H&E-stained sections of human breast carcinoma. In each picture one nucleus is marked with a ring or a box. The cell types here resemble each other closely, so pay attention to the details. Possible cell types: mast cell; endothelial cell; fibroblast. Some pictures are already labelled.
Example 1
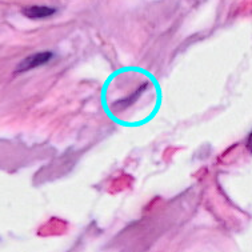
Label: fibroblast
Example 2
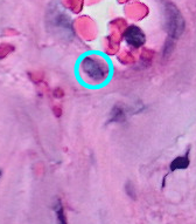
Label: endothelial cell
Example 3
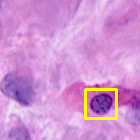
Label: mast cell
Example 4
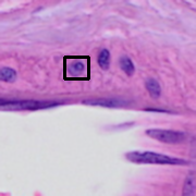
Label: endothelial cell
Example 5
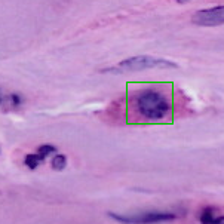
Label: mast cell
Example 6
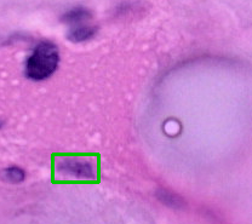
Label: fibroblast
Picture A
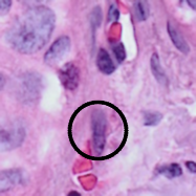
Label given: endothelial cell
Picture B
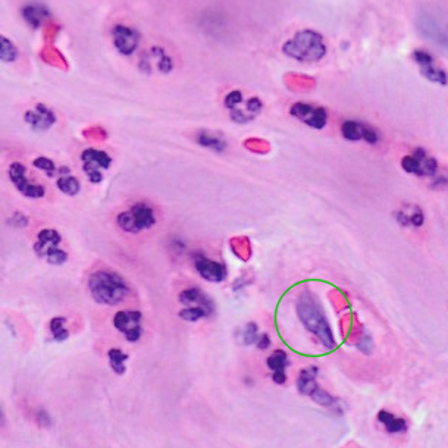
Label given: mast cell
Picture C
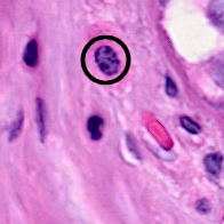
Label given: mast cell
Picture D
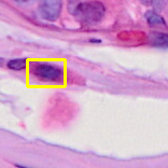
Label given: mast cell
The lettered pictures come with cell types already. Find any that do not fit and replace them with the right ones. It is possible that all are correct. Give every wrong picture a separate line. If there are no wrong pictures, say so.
B: endothelial cell, not mast cell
